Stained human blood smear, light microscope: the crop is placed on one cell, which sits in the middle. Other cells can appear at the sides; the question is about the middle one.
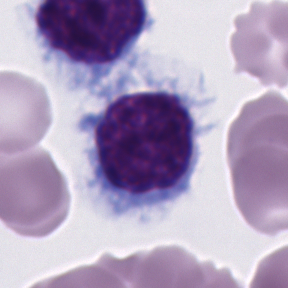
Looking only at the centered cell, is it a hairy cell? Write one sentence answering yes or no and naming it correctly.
Yes, the cell in the central position is a hairy cell.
